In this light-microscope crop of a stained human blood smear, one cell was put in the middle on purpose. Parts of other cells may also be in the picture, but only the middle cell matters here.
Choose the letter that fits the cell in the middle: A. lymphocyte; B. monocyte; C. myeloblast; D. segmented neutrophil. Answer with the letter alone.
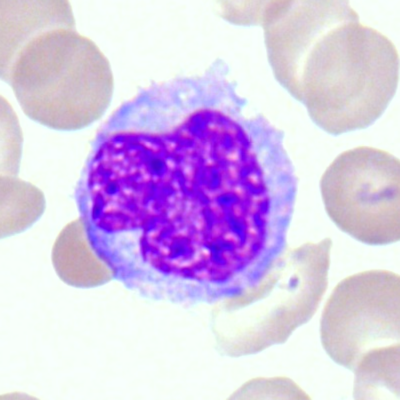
B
